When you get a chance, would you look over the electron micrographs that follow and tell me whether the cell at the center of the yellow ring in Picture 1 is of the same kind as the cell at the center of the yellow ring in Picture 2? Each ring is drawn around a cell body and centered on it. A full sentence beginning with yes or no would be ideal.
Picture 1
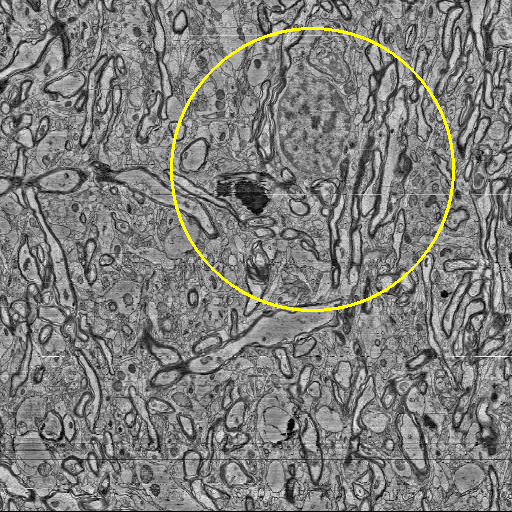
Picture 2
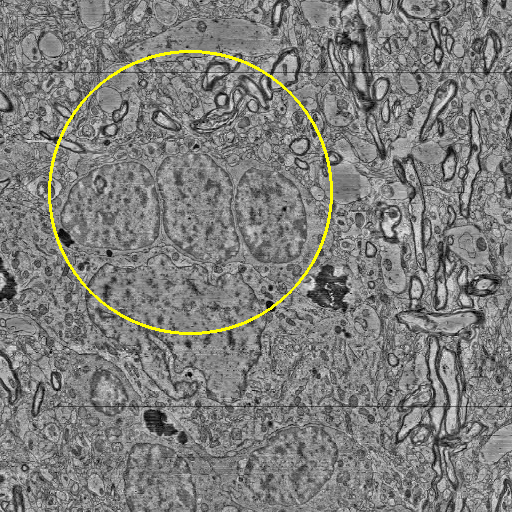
Yes, the two cells are of the same kind.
